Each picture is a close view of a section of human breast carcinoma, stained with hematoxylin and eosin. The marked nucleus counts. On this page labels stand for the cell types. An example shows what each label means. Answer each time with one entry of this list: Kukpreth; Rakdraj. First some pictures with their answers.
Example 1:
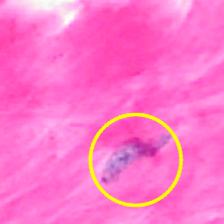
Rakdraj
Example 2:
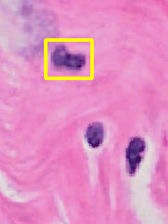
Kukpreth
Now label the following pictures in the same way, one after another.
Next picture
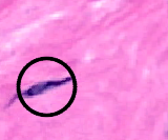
Rakdraj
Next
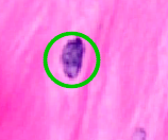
Kukpreth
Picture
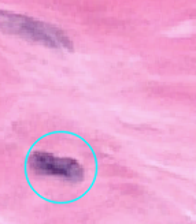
Kukpreth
